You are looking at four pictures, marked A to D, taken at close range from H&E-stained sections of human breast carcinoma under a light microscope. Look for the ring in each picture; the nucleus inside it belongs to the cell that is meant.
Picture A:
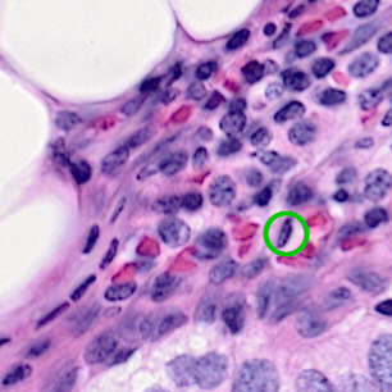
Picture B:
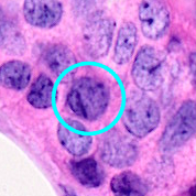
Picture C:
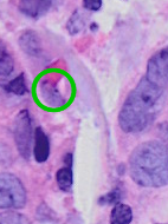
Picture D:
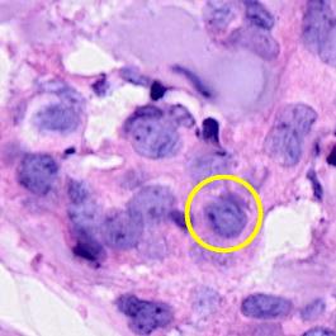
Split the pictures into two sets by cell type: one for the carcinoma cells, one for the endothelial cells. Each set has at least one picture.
A: endothelial cell
B: carcinoma cell
C: endothelial cell
D: carcinoma cell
